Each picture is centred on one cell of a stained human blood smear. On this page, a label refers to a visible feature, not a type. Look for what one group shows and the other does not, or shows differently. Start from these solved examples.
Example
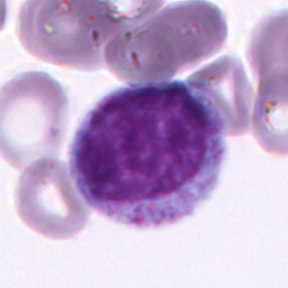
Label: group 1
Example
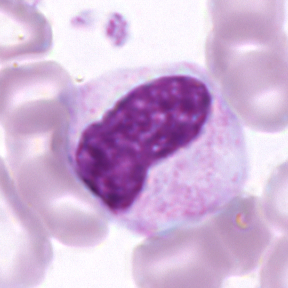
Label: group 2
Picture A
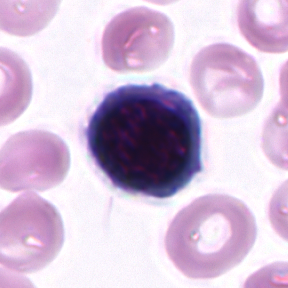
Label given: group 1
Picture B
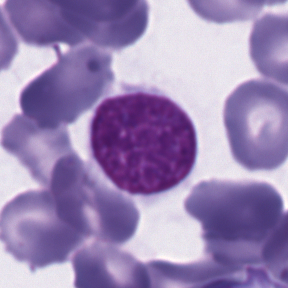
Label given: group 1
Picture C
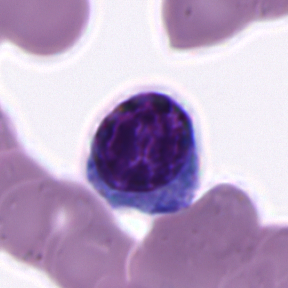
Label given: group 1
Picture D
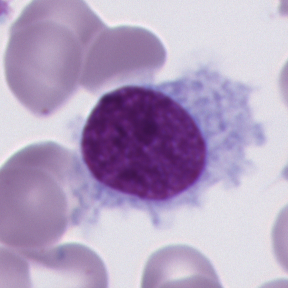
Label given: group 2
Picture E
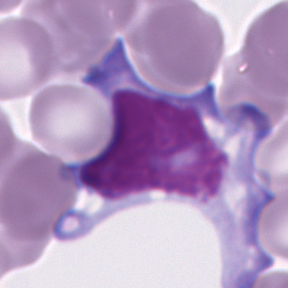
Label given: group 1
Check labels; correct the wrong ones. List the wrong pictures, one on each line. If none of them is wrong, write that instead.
E: change group 1 to group 2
